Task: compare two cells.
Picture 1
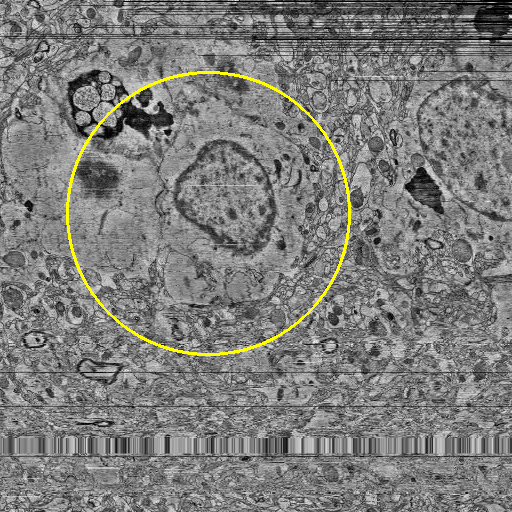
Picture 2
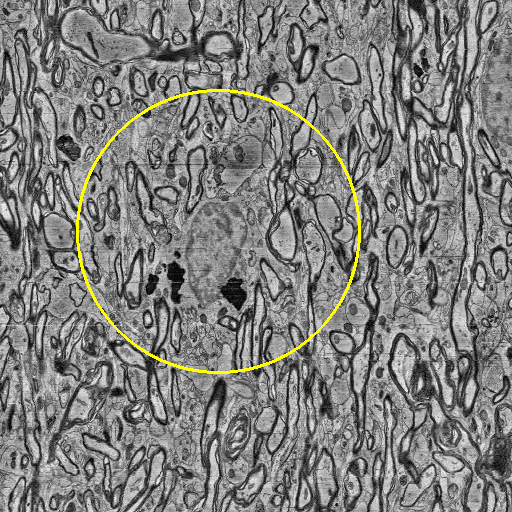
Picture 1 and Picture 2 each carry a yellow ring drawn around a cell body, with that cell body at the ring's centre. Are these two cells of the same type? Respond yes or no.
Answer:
no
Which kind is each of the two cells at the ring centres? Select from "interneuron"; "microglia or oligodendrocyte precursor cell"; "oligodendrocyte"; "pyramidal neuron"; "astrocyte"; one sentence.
The cell at the centre of the ring is an astrocyte in the first picture and an oligodendrocyte in the second.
